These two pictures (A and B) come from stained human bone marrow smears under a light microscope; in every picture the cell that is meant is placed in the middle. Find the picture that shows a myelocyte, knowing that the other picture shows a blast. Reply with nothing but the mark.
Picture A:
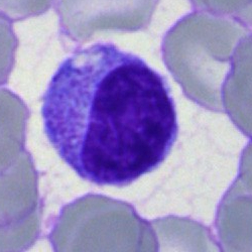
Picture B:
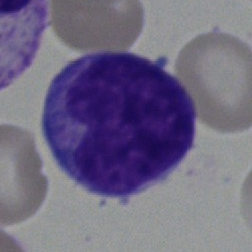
A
